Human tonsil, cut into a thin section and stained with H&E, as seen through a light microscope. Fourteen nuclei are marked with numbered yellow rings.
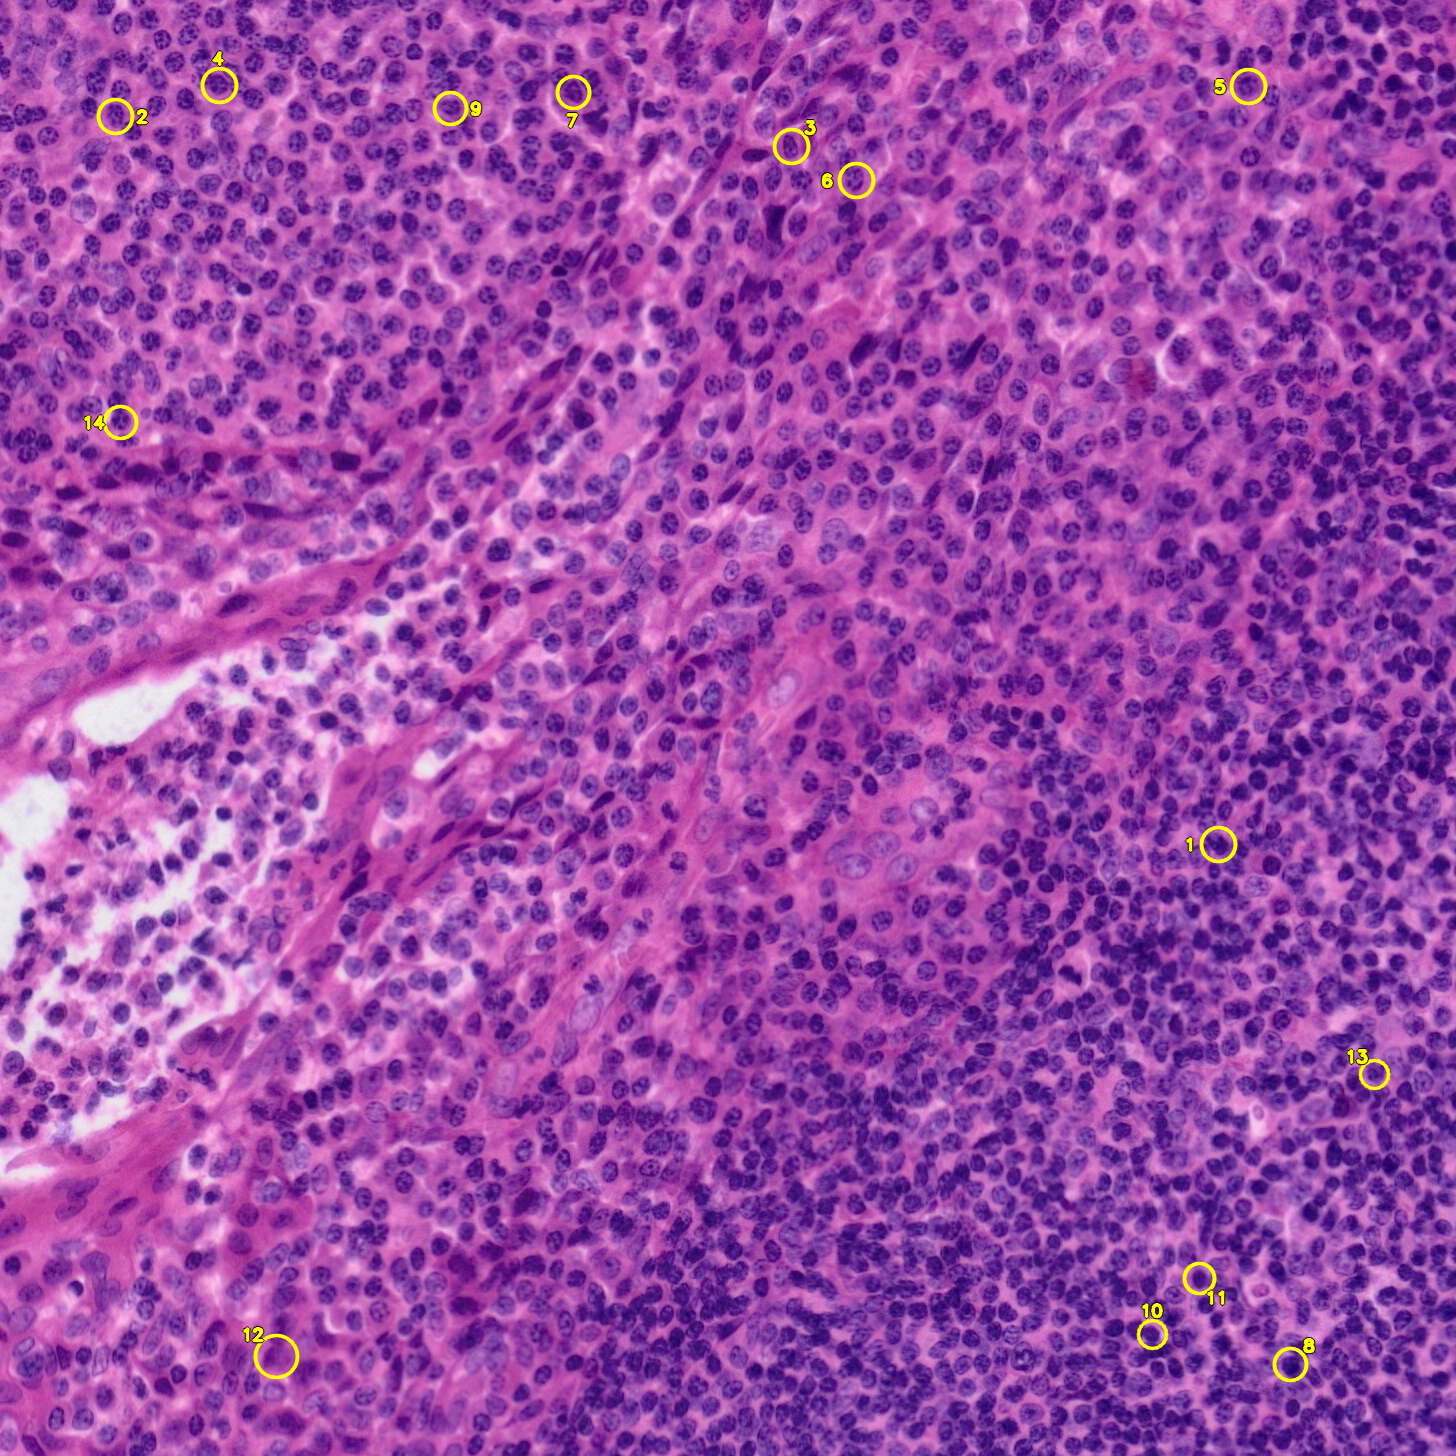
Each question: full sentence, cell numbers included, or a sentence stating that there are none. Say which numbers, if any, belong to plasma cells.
The cells referred to by the numbers 2, 3, 4, 5, 6, 7, 9 and 14 are plasma cells.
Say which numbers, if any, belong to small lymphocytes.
The cells that have numbers 1, 8, 10, 11 and 13 are small lymphocytes.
